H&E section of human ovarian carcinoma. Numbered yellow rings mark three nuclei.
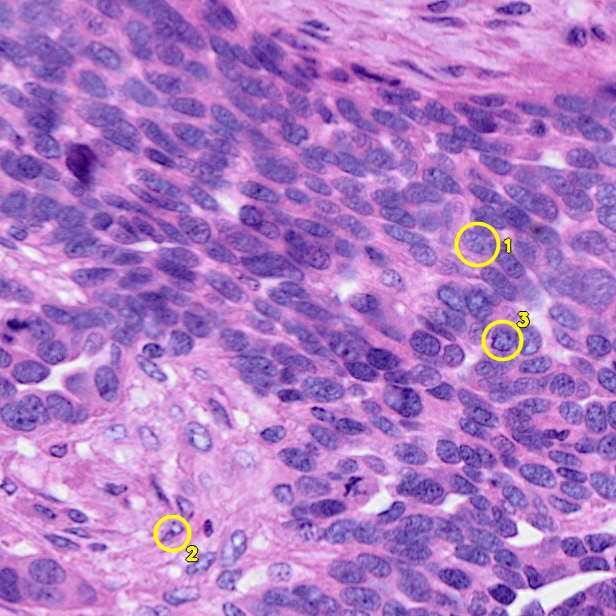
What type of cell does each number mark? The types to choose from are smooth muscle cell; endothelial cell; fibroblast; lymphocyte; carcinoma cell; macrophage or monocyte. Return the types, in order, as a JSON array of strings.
["carcinoma cell", "fibroblast", "carcinoma cell"]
